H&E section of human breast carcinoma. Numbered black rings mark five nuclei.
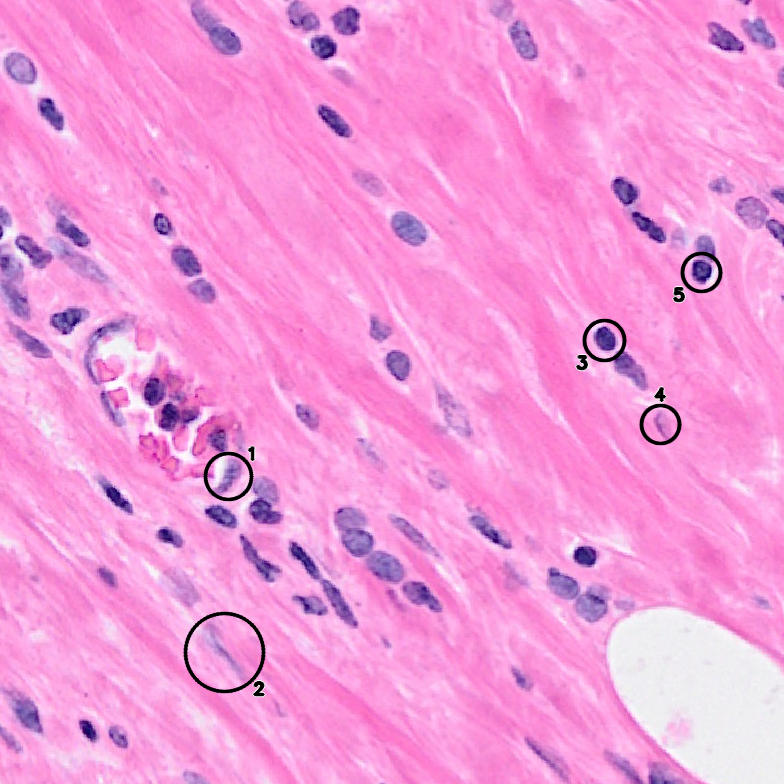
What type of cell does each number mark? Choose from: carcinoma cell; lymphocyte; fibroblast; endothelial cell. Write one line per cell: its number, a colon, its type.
1: endothelial cell
2: fibroblast
3: lymphocyte
4: fibroblast
5: lymphocyte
